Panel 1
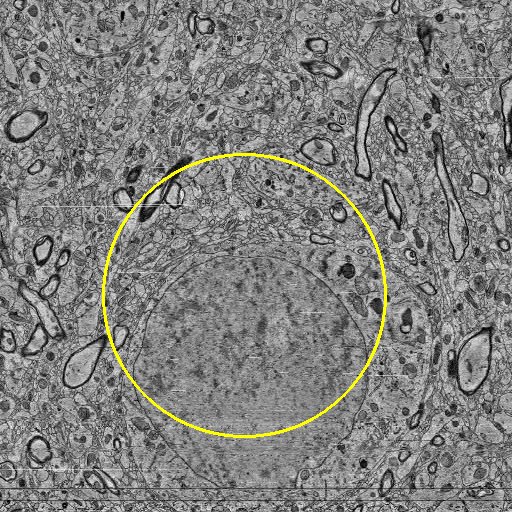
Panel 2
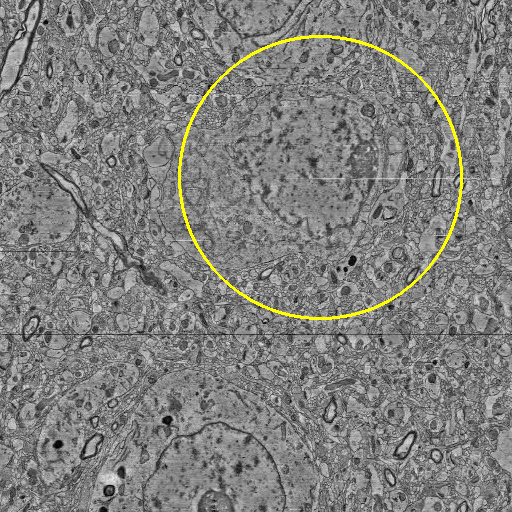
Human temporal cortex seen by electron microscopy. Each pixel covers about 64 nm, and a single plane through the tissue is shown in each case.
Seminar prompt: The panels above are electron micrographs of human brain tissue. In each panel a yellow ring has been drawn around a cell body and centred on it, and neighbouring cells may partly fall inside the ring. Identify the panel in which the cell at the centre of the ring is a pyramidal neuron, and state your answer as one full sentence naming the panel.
Panel 1 has it at the centre of its ring.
